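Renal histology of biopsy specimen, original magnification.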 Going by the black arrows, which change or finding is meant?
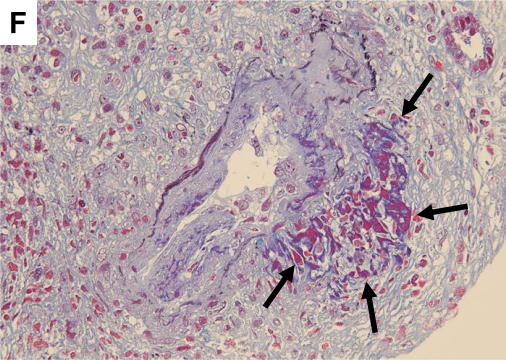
Fibrinoid necrosis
